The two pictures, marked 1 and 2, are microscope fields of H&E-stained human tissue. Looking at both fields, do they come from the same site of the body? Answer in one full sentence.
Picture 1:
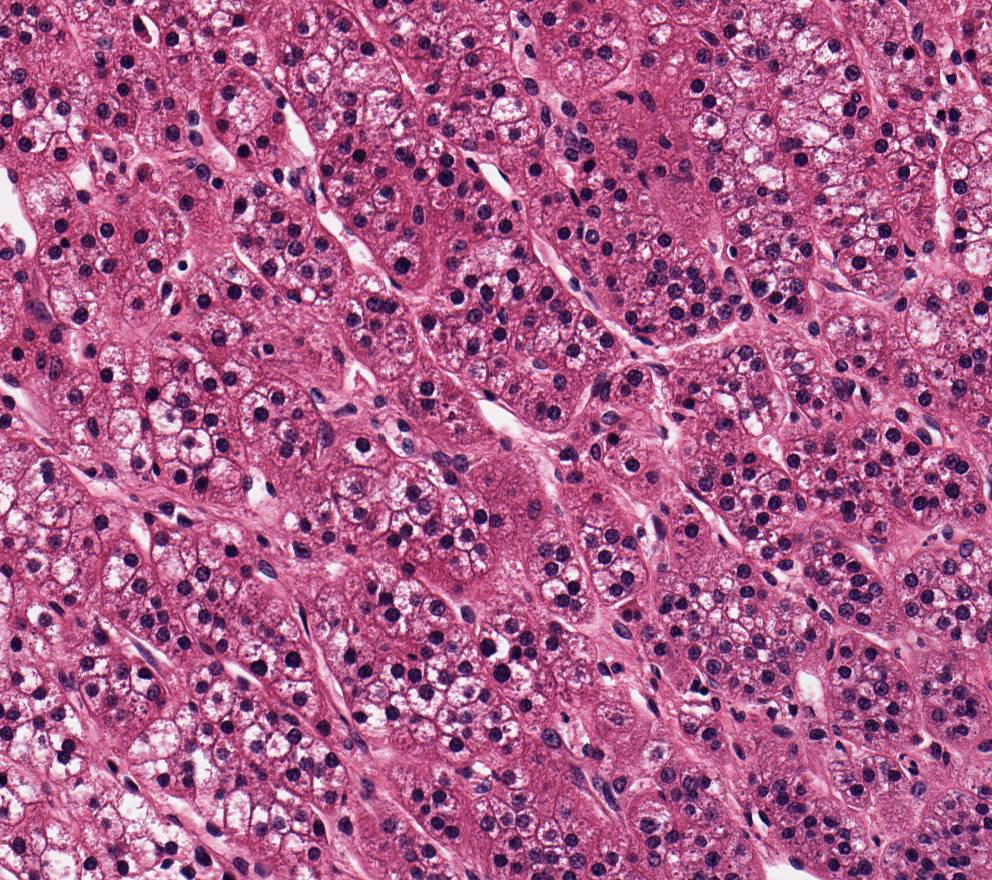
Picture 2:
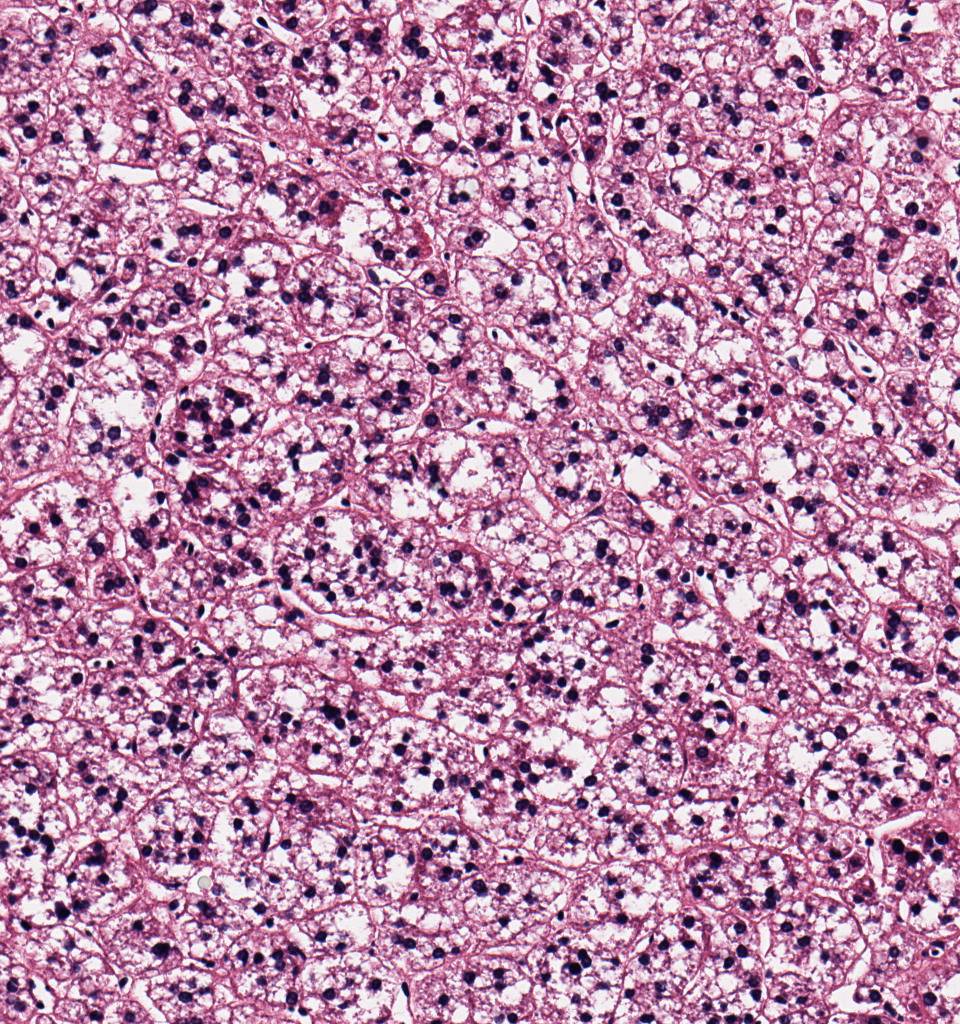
Yes; both pictures come from the adrenal gland.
